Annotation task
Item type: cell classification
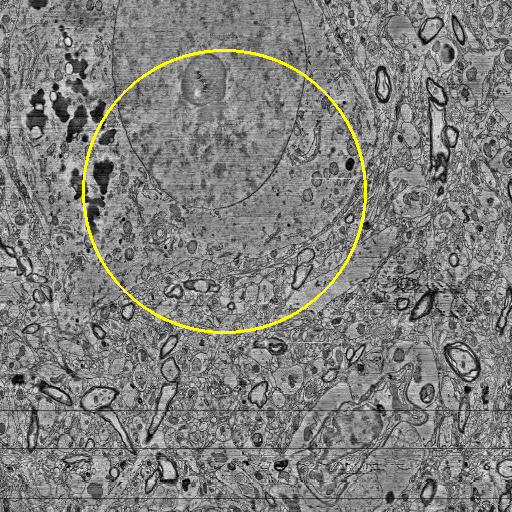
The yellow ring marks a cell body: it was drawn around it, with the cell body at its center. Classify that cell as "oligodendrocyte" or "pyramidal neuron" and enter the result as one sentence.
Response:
The ring's center falls on a pyramidal neuron.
